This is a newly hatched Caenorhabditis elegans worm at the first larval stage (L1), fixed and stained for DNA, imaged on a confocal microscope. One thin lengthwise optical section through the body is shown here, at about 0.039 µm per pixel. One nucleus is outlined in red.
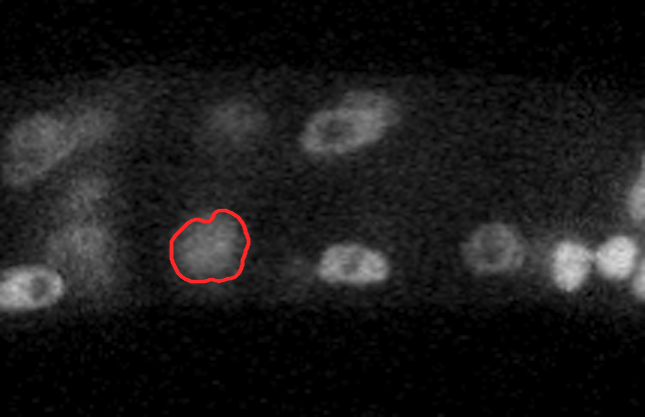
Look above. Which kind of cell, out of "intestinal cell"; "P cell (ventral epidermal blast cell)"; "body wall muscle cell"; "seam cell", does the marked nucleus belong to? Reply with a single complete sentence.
The marked nucleus is that of a P cell (ventral epidermal blast cell).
